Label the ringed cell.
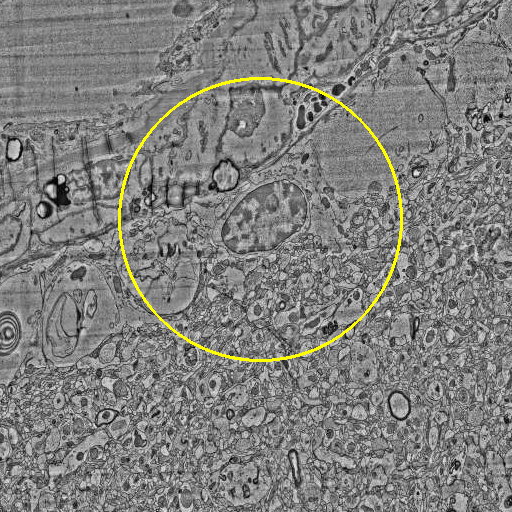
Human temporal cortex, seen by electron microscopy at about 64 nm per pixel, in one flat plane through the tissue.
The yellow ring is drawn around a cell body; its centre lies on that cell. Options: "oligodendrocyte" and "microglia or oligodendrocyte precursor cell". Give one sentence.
The ringed cell is a microglial cell or oligodendrocyte precursor cell.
